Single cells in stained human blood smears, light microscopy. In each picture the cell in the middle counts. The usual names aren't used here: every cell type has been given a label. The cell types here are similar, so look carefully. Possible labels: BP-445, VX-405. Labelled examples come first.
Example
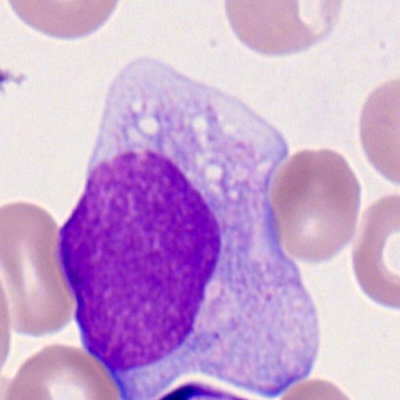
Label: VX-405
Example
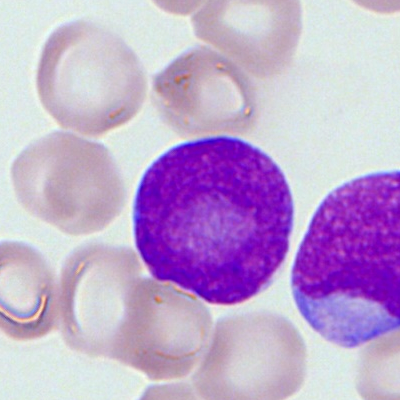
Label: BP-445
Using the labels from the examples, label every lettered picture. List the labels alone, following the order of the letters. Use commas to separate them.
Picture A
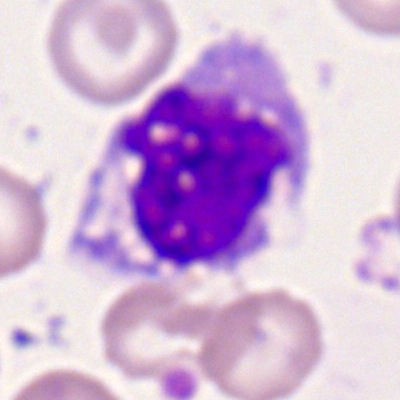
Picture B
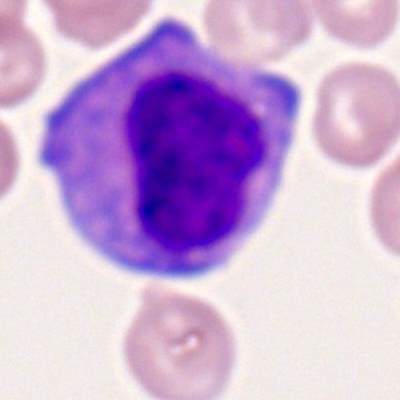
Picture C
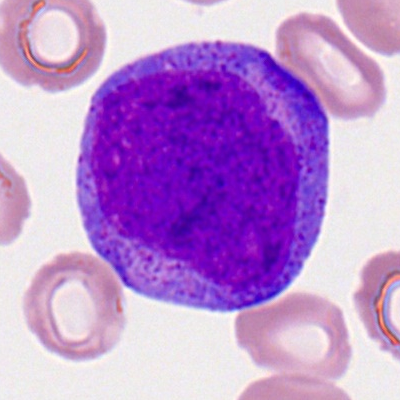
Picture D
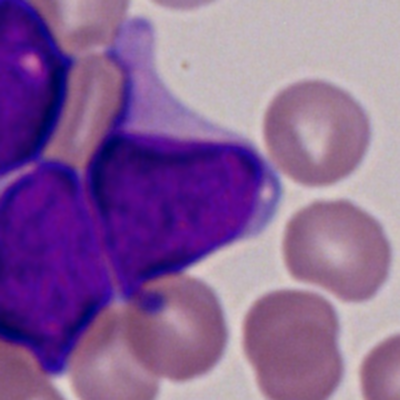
VX-405, BP-445, BP-445, BP-445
